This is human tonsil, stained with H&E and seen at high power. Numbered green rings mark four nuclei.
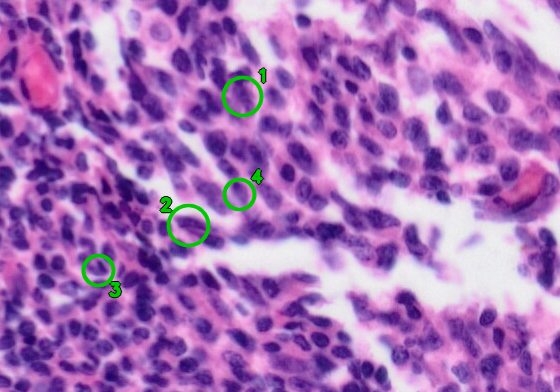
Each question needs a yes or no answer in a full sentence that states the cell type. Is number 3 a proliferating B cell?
No, cell 3 is not a proliferating B cell. It is a small lymphocyte.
